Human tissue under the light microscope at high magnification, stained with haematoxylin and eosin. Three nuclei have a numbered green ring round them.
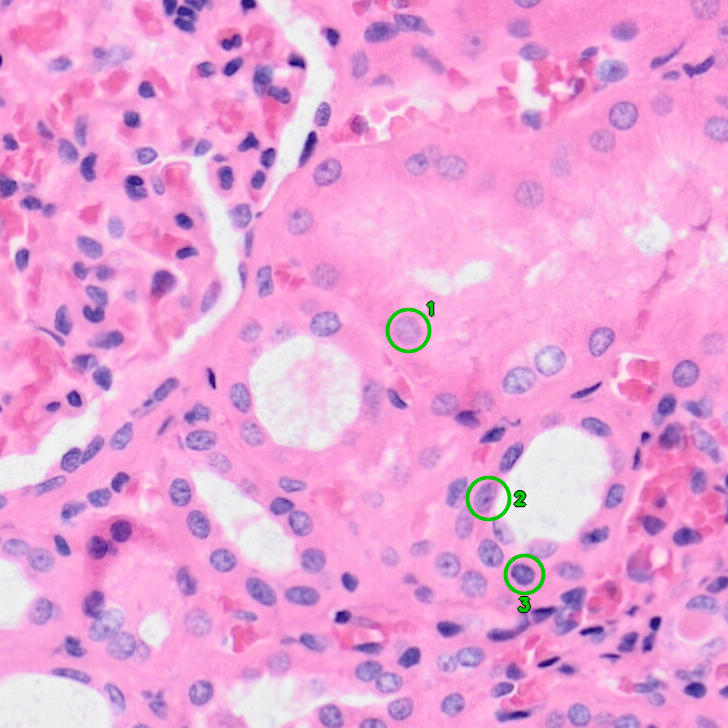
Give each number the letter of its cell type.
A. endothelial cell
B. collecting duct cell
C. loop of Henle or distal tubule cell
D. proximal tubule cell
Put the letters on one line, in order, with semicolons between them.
D; C; C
